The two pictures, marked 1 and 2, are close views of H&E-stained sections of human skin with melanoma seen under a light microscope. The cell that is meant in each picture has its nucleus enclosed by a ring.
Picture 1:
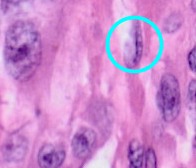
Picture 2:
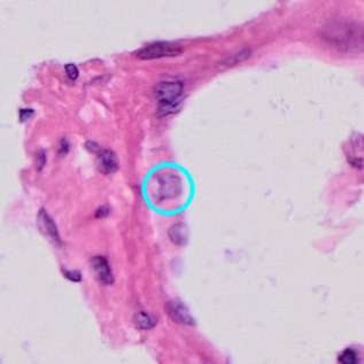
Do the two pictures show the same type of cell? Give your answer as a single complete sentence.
Yes, both cells are endothelial cells.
